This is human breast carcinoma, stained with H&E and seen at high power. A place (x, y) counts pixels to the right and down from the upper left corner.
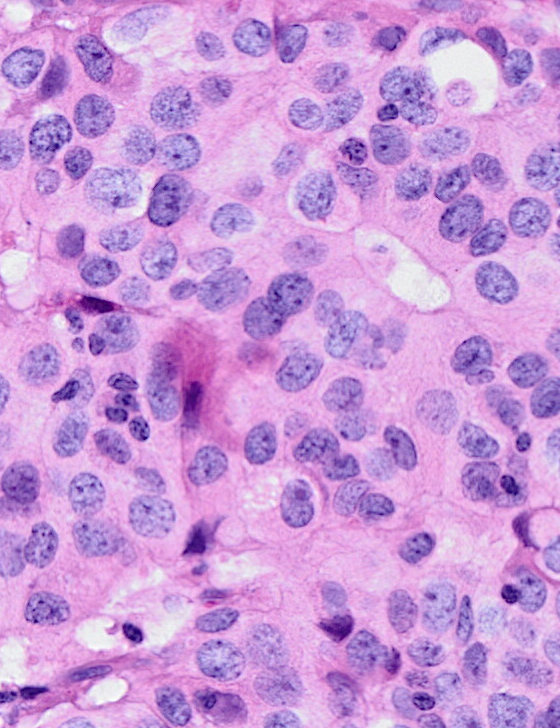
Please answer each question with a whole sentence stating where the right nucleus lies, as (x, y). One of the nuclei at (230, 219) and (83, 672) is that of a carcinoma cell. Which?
It is the nucleus at (230, 219), not the other one, that belongs to a carcinoma cell.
